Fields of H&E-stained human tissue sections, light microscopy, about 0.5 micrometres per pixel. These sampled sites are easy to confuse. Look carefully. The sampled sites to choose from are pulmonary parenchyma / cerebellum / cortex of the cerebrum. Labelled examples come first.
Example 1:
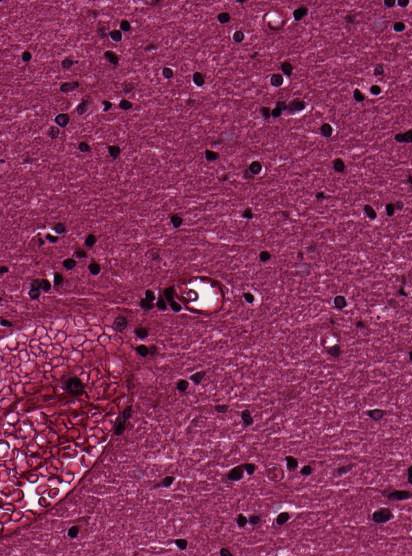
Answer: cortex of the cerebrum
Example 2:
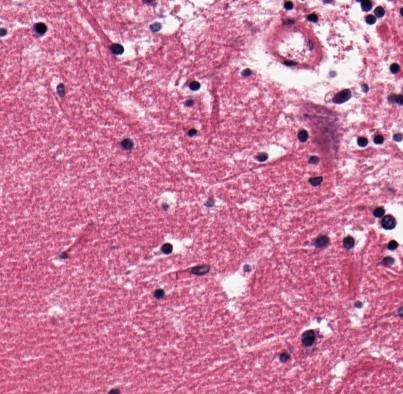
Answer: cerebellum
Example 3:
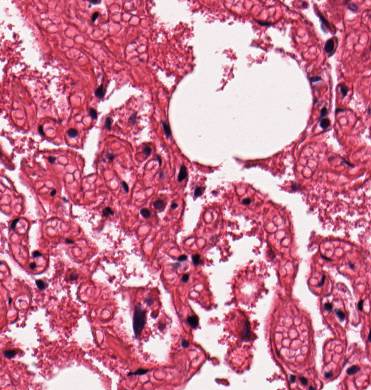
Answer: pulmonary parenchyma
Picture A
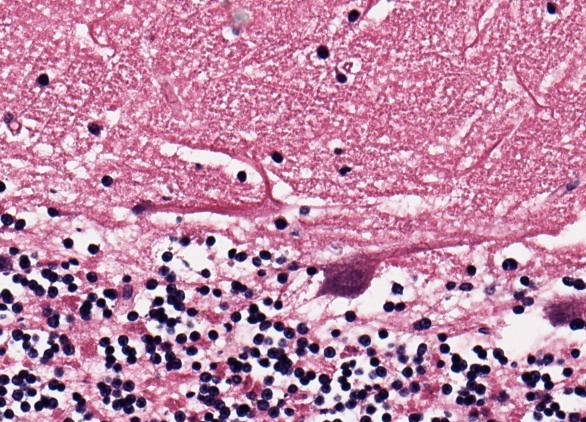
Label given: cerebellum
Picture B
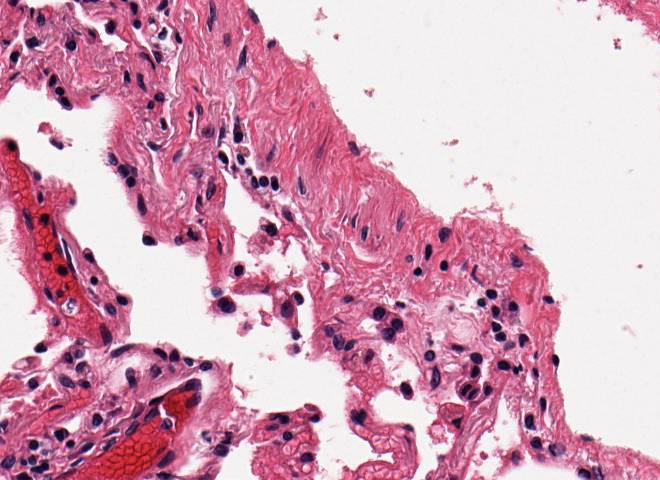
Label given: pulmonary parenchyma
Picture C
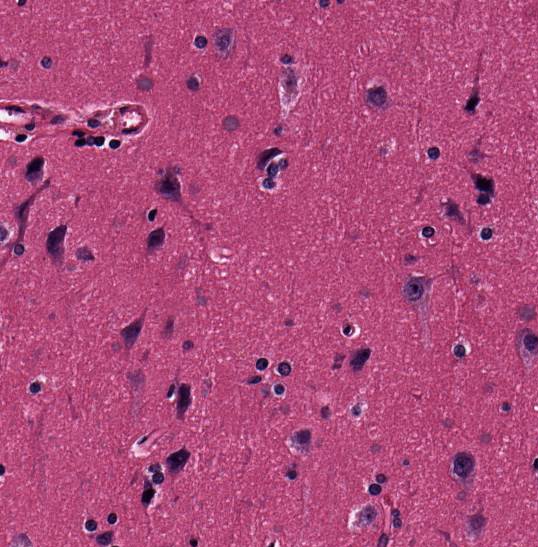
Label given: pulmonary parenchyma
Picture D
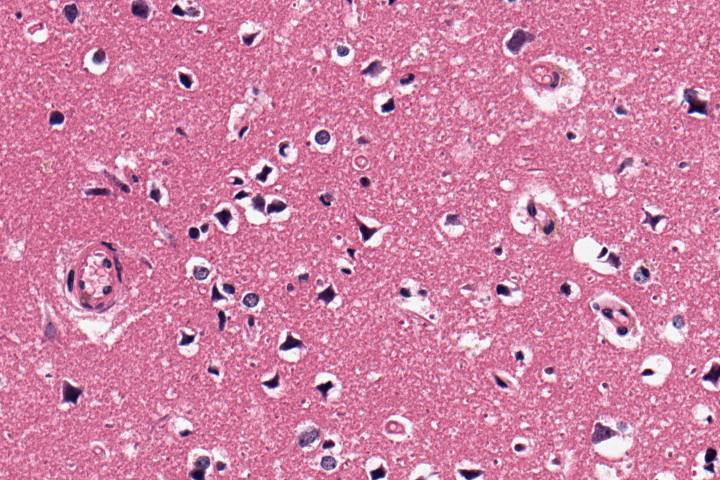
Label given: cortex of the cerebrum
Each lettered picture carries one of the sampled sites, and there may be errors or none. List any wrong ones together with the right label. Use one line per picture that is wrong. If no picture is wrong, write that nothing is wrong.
C: cortex of the cerebrum, not pulmonary parenchyma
